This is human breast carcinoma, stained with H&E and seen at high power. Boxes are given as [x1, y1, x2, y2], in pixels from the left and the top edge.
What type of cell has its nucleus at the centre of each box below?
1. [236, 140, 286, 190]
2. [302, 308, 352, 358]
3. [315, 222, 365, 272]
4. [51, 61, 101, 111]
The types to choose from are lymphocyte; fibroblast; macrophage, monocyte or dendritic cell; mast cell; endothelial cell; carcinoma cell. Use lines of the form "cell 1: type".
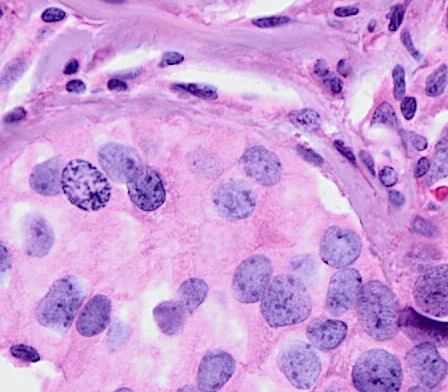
cell 1: carcinoma cell
cell 2: carcinoma cell
cell 3: carcinoma cell
cell 4: lymphocyte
